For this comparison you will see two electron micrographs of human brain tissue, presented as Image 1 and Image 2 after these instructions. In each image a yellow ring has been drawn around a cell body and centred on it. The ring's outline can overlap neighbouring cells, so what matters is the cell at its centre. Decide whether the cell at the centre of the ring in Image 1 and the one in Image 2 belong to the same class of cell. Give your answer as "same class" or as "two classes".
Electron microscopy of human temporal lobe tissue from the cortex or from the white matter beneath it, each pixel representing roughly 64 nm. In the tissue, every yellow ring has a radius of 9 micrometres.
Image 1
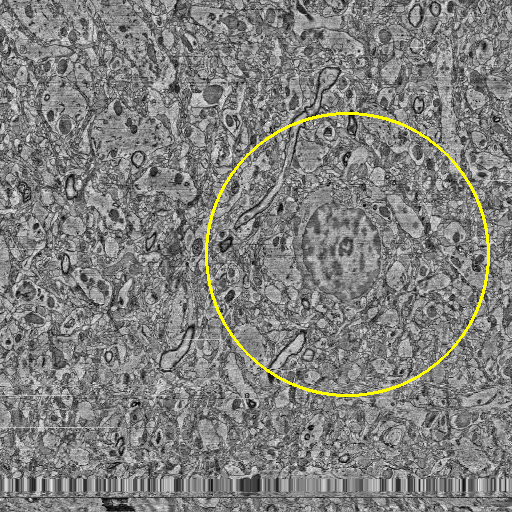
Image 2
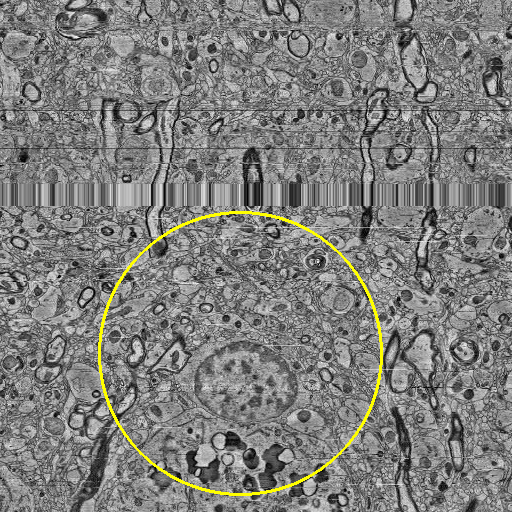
same class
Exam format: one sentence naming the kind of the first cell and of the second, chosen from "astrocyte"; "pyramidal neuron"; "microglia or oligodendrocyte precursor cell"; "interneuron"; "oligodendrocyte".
Each cell at the centre of a ring is an oligodendrocyte.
